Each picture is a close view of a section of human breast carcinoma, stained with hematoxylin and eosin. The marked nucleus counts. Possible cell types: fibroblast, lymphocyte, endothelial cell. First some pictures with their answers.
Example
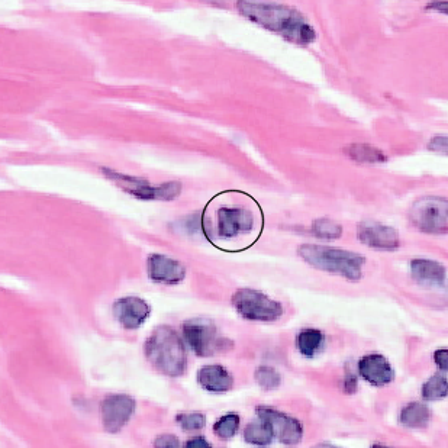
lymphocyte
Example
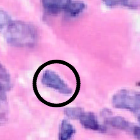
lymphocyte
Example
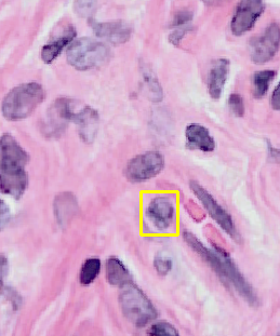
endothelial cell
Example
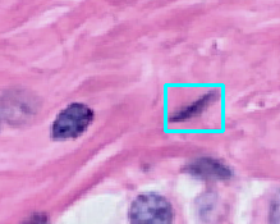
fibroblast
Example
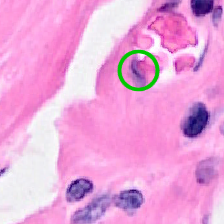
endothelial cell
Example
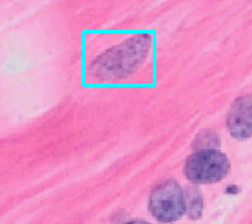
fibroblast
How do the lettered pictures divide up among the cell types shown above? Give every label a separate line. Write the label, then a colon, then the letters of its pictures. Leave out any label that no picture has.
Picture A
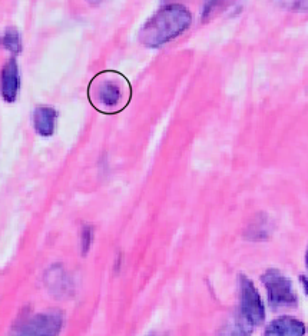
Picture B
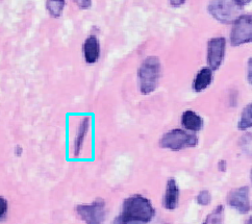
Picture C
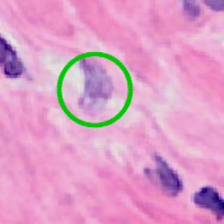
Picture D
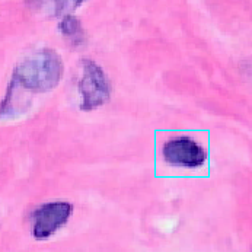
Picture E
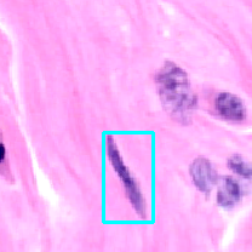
fibroblast: B, C, E
lymphocyte: A, D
